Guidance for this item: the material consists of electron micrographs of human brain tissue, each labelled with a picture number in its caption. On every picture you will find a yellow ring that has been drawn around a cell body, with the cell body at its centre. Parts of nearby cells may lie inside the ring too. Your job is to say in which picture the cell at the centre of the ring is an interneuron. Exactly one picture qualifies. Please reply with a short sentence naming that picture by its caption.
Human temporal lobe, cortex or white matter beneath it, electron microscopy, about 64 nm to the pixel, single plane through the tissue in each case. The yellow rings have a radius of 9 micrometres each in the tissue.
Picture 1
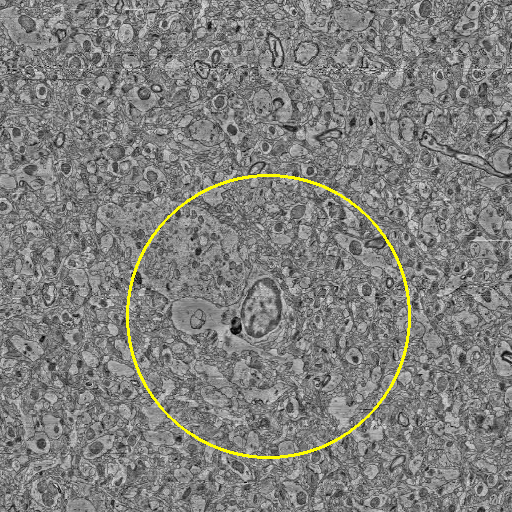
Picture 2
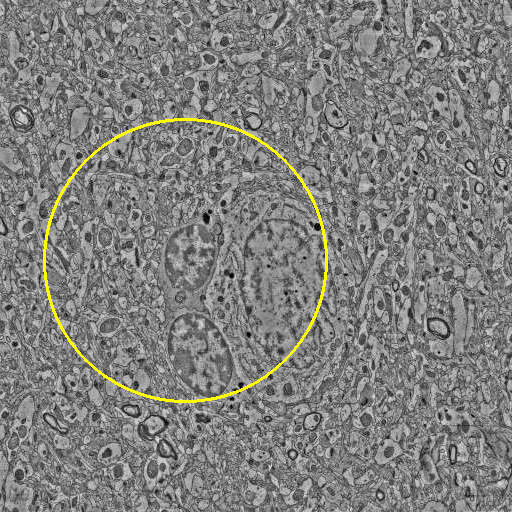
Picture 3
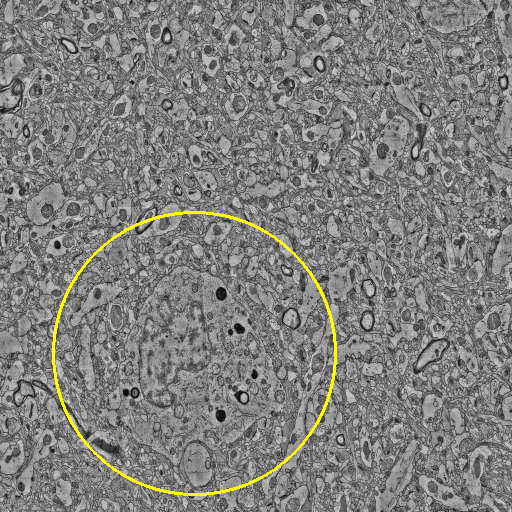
Picture 3 shows it at the centre of the ring.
